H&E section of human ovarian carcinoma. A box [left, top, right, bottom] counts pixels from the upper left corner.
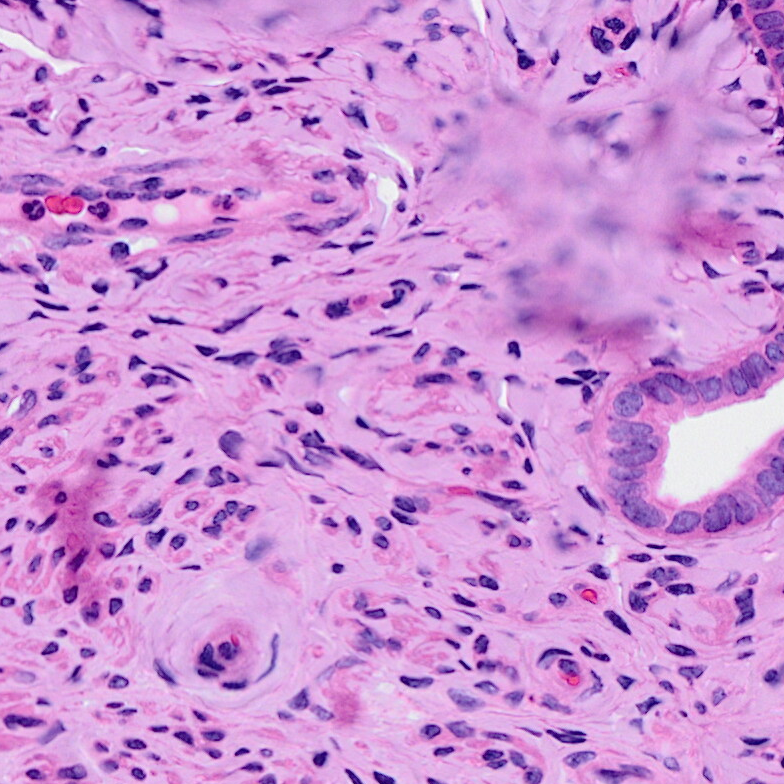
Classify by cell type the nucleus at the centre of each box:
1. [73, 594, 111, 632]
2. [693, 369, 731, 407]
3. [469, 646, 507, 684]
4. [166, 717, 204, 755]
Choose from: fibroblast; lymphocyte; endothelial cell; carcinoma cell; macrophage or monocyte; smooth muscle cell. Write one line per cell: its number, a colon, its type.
1: smooth muscle cell
2: carcinoma cell
3: smooth muscle cell
4: smooth muscle cell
